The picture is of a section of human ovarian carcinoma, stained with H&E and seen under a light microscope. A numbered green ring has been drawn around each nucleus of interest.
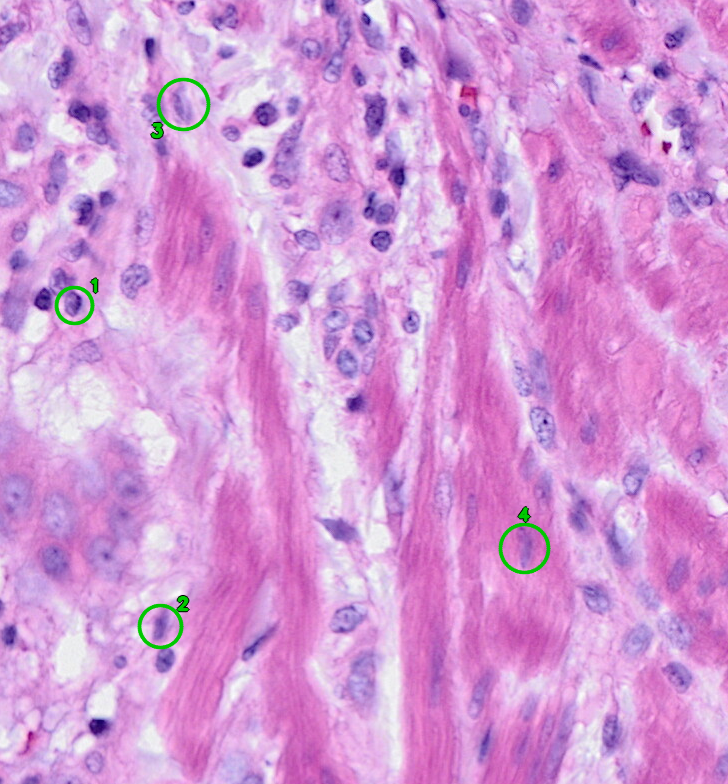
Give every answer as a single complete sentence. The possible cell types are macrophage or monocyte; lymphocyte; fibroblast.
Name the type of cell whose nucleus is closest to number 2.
The nearest nucleus to number 2 belongs to a lymphocyte.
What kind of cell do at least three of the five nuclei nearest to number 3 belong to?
Macrophages or monocytes account for more than half of the five nuclei nearest to number 3.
